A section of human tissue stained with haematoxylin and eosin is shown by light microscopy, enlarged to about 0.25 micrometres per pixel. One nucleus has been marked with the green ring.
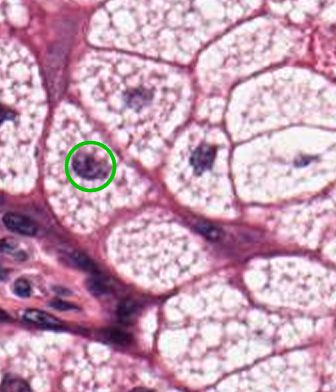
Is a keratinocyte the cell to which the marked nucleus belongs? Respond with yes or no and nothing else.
no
